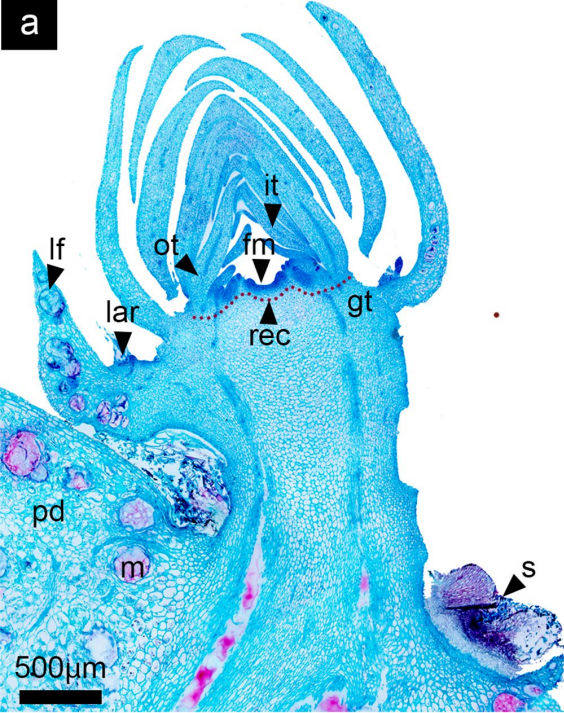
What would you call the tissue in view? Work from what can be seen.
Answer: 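Floral axis. A stout axis bears, at its top, several nested curved organs enclosing a central cavity. Small leaf-like outgrowths and a spine cluster arise from the sides of the axis below.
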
